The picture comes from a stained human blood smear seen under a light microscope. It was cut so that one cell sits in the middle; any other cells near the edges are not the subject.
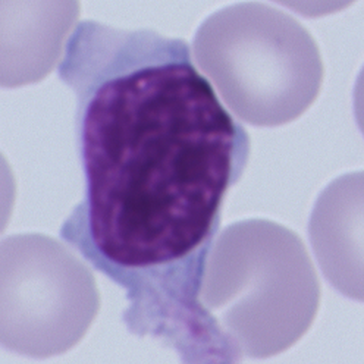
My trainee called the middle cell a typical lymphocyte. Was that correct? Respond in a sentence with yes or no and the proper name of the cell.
No, the central cell is not a typical lymphocyte, being instead a large granular lymphocyte.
